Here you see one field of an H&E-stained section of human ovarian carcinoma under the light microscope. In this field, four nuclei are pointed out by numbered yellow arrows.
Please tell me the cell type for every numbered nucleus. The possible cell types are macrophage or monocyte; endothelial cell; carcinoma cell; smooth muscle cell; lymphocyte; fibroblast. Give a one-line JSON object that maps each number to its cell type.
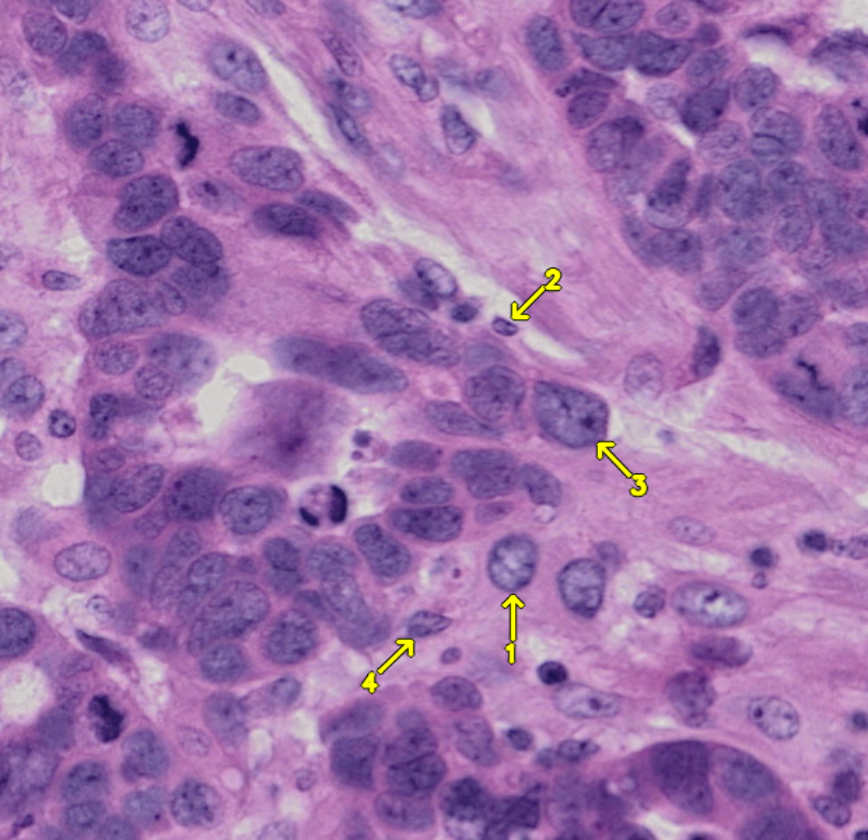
{"1": "fibroblast", "2": "lymphocyte", "3": "carcinoma cell", "4": "macrophage or monocyte"}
